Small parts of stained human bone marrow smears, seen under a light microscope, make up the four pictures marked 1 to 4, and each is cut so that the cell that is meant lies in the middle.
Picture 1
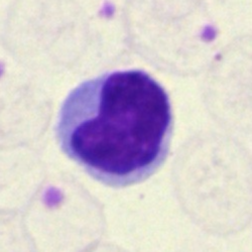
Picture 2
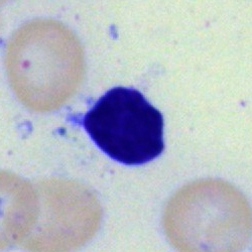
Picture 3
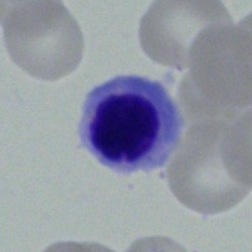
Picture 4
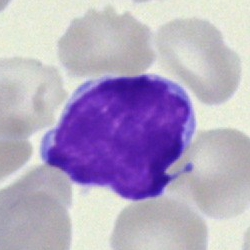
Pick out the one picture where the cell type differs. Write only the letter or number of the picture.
3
